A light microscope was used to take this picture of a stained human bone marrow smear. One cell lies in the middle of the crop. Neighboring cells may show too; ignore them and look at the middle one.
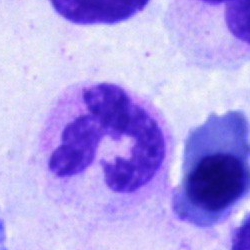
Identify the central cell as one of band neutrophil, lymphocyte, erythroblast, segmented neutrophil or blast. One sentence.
The cell in the exact centre of the crop is a segmented neutrophil.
